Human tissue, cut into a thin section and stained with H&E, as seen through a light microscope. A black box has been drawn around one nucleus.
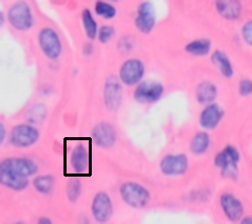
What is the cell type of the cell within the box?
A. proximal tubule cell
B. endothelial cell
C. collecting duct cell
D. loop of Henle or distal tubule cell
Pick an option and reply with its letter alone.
B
